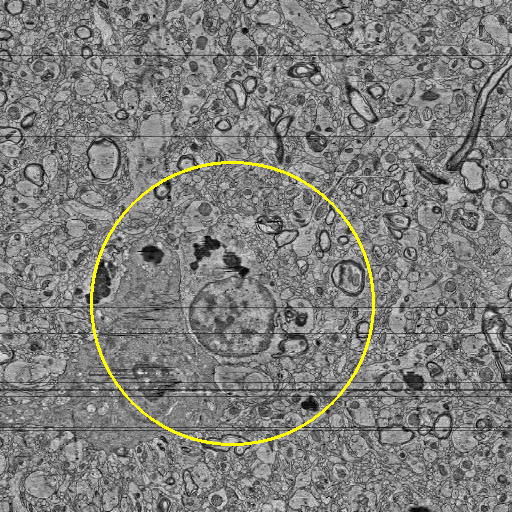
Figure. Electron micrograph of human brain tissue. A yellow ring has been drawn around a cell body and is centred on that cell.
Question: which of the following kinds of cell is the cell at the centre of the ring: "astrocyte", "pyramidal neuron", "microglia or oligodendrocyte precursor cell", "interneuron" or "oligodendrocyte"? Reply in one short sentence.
The cell at the centre of the ring is an oligodendrocyte.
